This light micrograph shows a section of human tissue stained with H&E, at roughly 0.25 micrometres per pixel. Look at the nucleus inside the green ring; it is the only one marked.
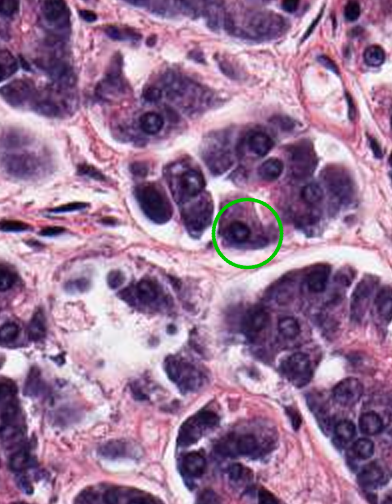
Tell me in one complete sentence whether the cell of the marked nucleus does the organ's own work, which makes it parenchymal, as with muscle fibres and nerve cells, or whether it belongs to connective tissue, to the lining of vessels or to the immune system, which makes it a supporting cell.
Seen here, the marked nucleus belongs to a parenchymal cell, namely a pancreatic acinar cell.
